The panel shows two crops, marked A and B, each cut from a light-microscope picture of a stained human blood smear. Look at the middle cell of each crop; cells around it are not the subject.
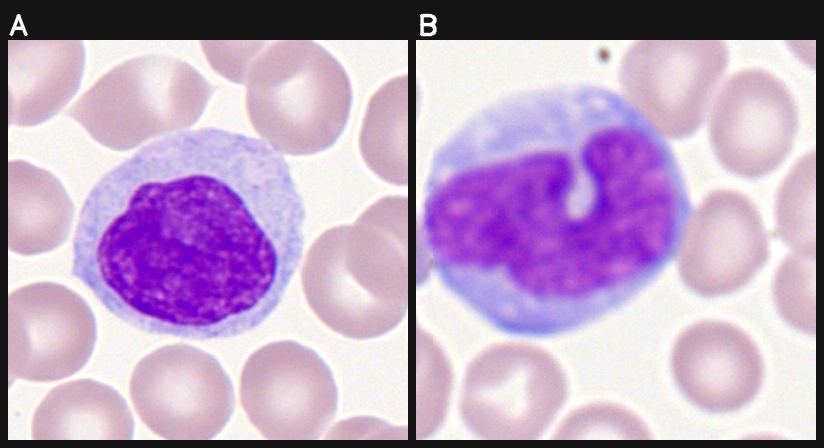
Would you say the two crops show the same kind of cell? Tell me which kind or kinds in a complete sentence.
Yes, put down monocytes for both crops.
